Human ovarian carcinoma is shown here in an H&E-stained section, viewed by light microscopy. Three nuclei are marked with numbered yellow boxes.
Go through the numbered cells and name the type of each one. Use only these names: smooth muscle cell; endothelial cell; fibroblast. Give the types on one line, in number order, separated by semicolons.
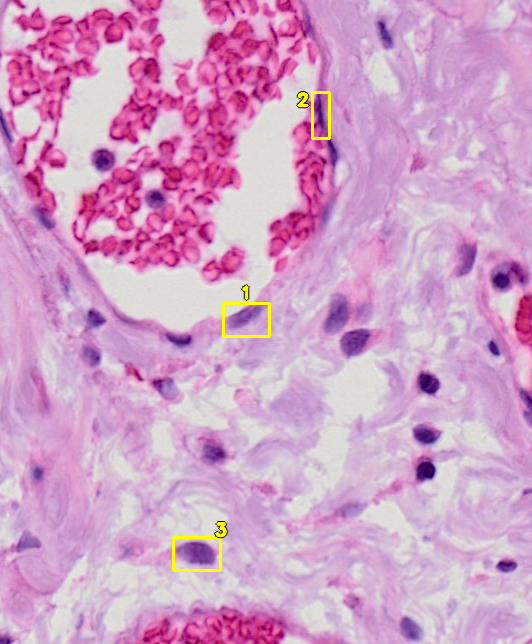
endothelial cell; endothelial cell; fibroblast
